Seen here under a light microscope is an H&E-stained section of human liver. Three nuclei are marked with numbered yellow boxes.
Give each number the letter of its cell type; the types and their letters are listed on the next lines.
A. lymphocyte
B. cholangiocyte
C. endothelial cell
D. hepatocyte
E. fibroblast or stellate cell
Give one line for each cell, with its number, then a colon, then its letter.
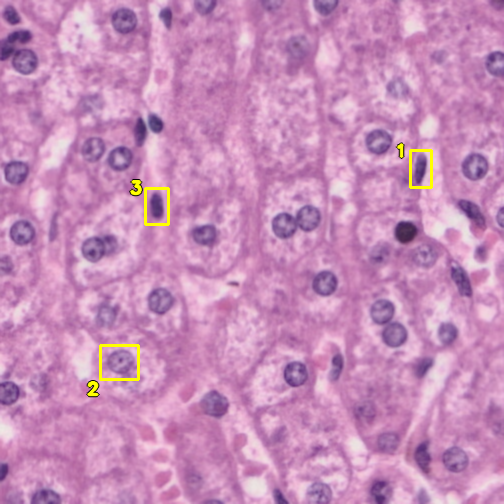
1: C
2: D
3: A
